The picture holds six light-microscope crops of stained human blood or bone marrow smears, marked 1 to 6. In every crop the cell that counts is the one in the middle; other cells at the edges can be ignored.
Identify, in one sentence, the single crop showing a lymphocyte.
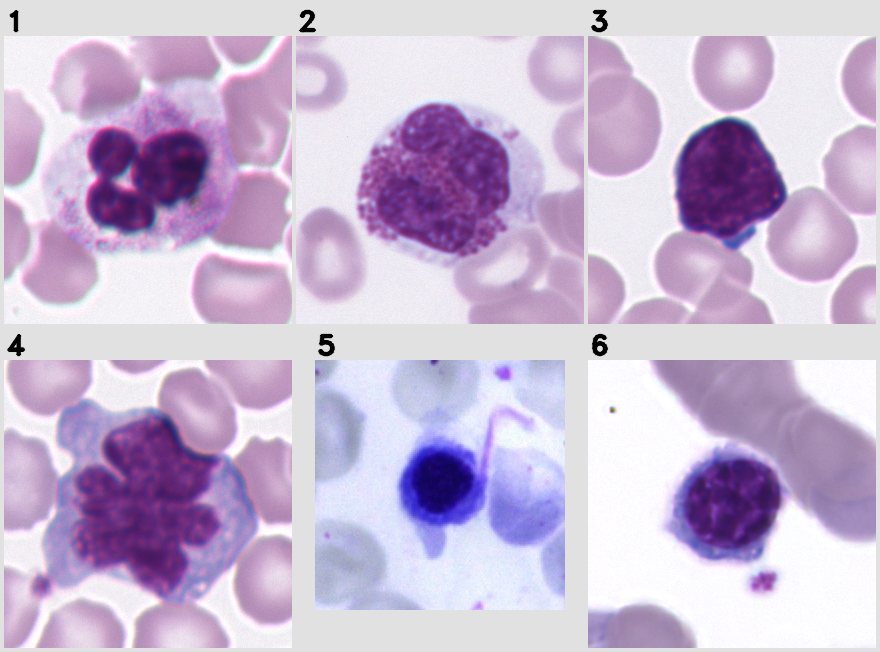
It is in crop 3 that a lymphocyte is shown.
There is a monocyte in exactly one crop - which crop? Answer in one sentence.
Crop 4 is the crop containing a monocyte.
